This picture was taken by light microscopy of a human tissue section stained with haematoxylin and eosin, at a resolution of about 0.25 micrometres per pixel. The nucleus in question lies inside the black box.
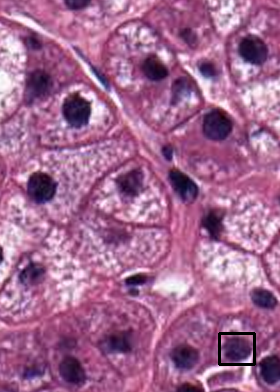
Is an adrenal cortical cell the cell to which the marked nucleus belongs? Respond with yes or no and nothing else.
yes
